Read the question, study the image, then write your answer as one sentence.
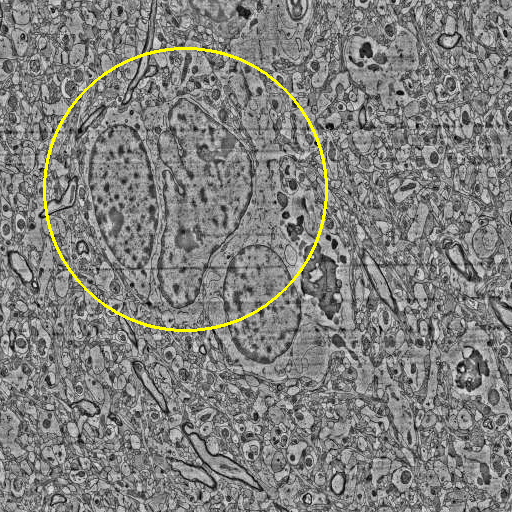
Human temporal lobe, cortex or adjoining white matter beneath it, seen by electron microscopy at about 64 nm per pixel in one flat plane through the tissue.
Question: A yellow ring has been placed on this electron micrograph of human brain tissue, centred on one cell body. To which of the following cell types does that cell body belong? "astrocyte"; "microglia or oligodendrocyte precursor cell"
That cell body belongs to a microglial cell or oligodendrocyte precursor cell.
